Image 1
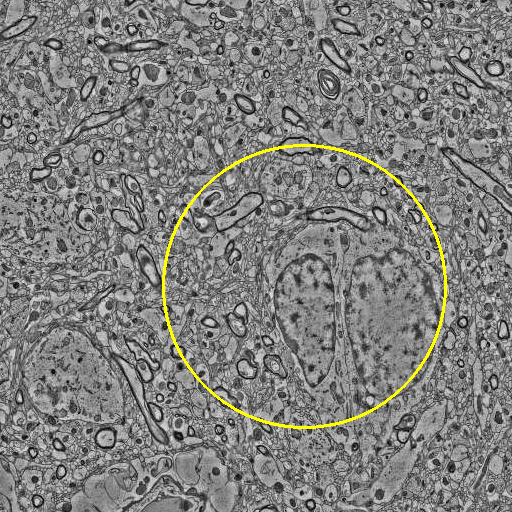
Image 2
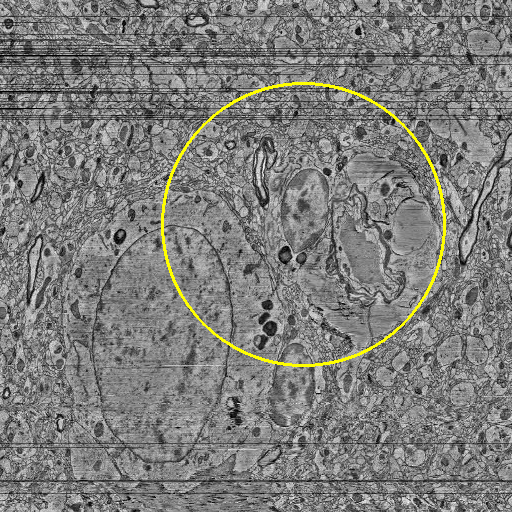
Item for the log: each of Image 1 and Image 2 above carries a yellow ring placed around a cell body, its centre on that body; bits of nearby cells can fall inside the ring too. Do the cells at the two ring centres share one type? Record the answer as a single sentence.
Yes, the two cells at the ring centres in Image 1 and Image 2 share one type.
